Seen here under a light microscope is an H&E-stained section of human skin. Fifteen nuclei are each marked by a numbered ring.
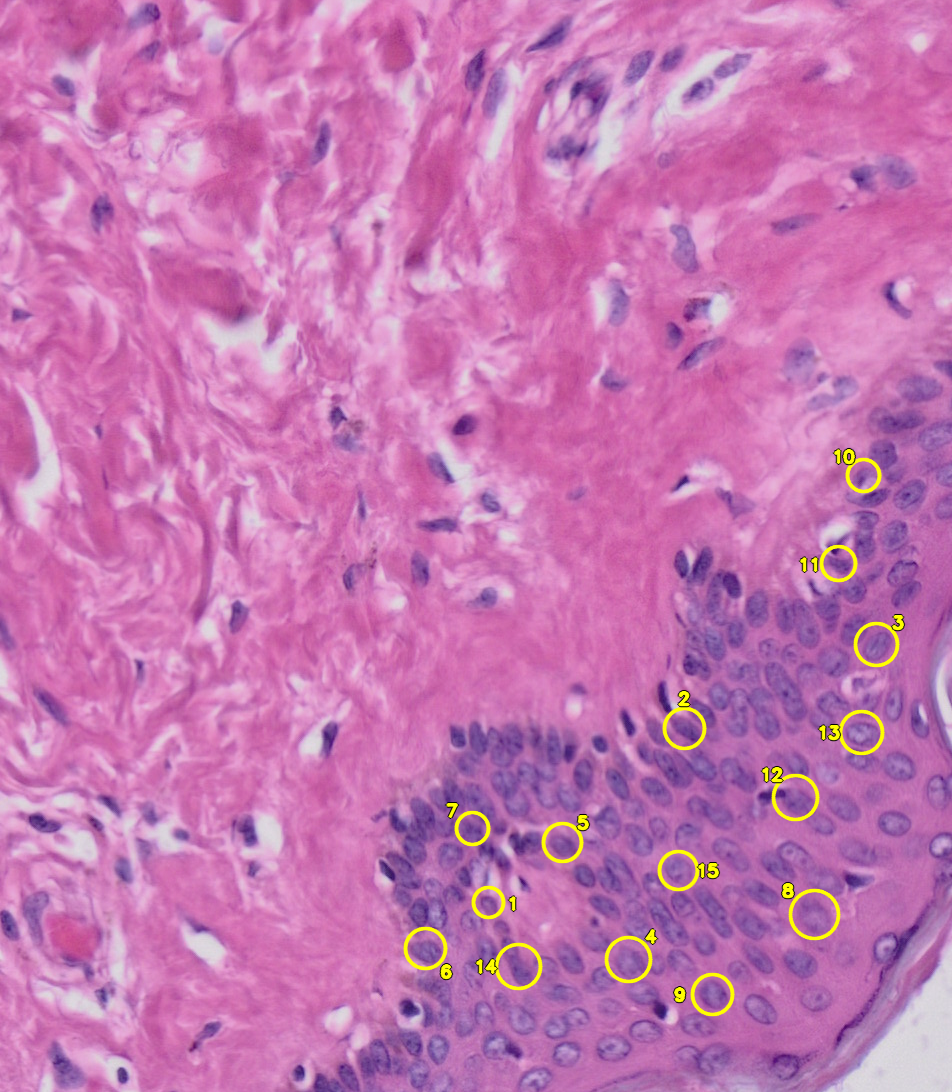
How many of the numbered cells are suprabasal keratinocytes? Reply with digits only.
7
